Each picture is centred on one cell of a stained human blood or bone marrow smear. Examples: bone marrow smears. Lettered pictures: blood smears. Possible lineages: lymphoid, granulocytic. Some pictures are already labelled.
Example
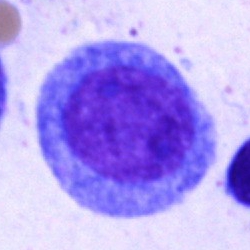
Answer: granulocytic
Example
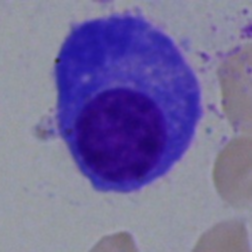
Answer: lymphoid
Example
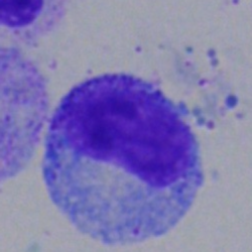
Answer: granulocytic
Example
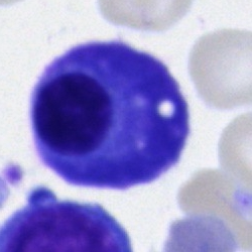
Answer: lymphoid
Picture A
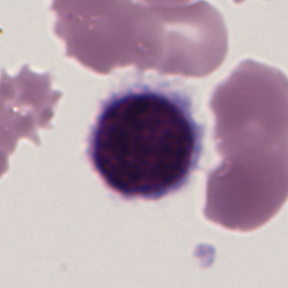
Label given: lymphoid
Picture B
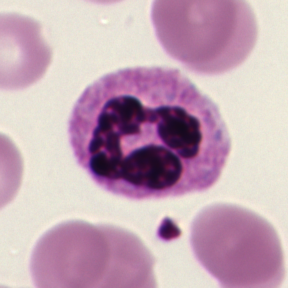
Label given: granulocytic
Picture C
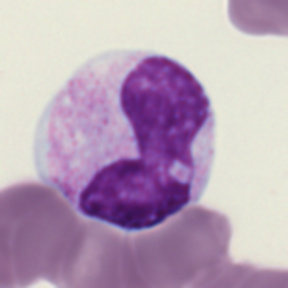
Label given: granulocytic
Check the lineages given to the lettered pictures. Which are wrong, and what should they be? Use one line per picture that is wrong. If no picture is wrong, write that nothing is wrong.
None of the labels needs changing.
